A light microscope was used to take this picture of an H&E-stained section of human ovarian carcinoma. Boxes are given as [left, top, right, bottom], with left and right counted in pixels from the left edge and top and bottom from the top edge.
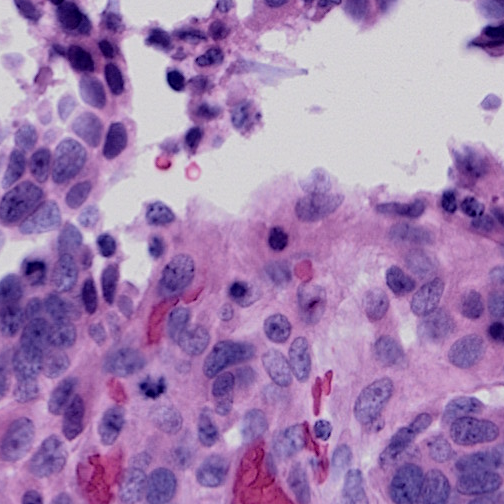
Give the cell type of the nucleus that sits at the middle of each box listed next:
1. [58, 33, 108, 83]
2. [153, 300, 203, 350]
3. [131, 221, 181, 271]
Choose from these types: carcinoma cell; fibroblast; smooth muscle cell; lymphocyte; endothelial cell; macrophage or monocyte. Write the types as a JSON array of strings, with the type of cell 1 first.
["carcinoma cell", "endothelial cell", "lymphocyte"]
